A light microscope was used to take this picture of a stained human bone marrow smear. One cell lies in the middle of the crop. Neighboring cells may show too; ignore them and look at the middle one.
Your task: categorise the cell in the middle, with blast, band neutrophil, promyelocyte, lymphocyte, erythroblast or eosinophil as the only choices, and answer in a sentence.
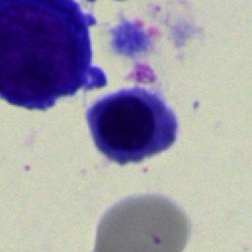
The cell nearest the centre of this crop is an erythroblast.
